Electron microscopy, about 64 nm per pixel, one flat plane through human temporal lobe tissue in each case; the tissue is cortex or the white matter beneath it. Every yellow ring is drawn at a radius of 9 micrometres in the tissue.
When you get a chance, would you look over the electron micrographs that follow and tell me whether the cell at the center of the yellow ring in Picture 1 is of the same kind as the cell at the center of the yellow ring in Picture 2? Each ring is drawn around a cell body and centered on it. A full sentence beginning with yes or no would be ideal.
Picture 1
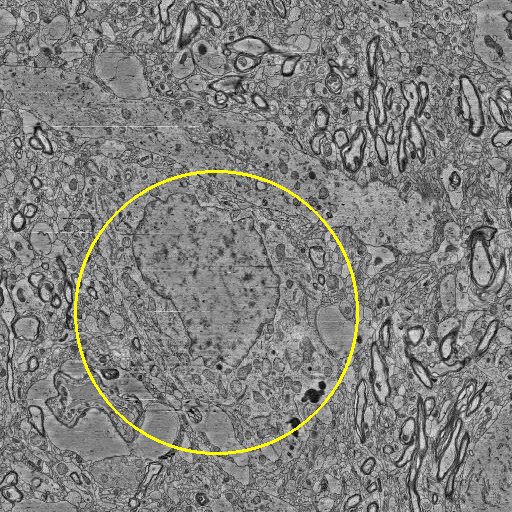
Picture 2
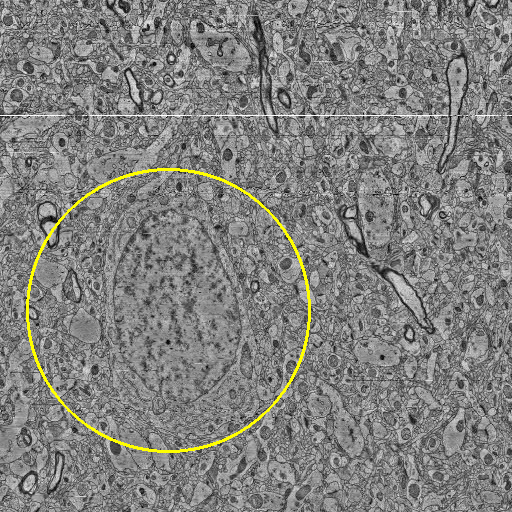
Yes, the two cells are of the same kind.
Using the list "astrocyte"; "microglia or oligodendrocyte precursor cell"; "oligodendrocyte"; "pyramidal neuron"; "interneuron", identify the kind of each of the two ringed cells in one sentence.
Each of the two rings surrounds an interneuron.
